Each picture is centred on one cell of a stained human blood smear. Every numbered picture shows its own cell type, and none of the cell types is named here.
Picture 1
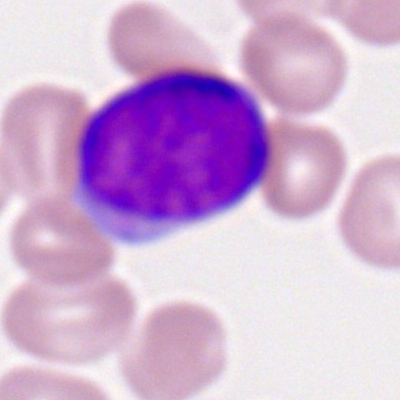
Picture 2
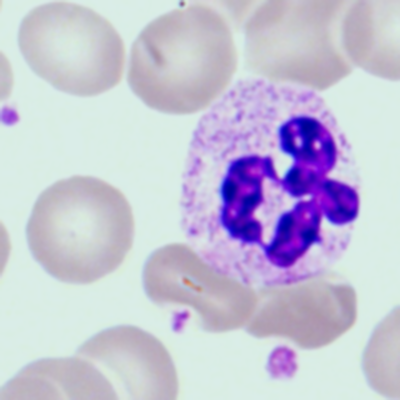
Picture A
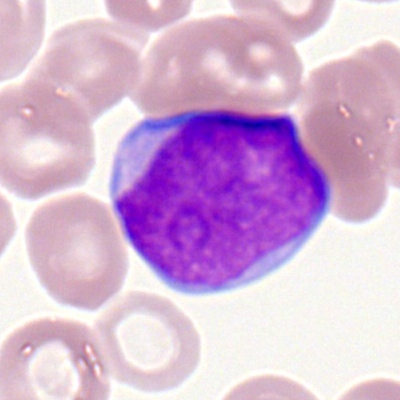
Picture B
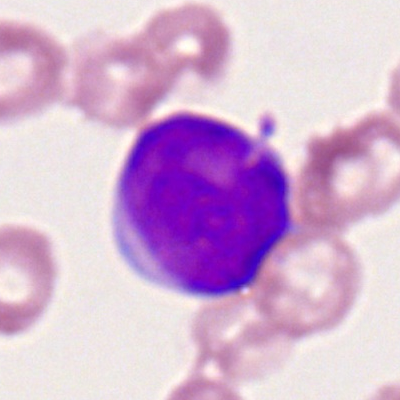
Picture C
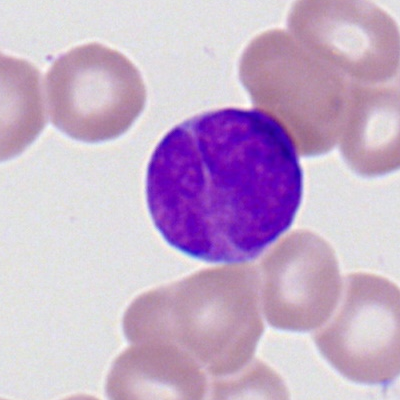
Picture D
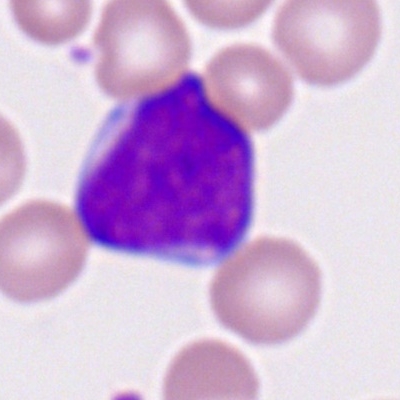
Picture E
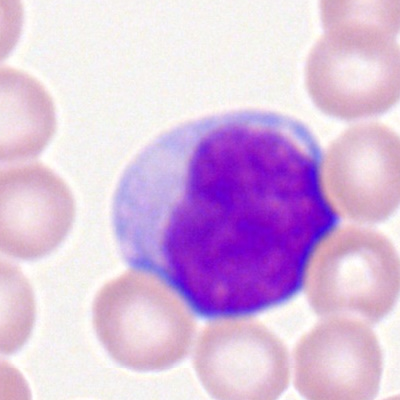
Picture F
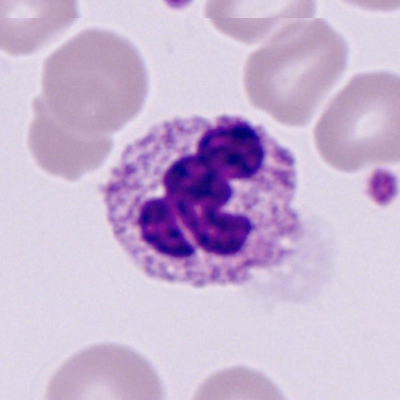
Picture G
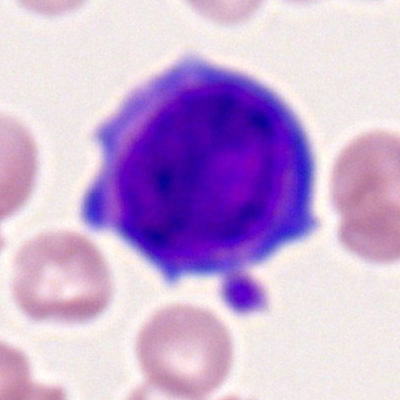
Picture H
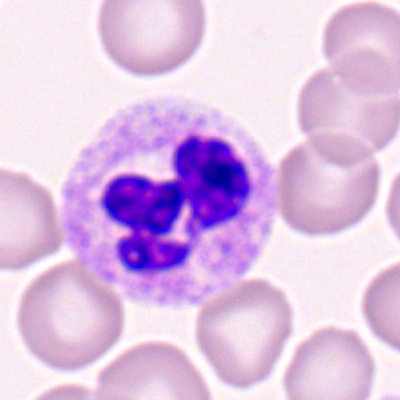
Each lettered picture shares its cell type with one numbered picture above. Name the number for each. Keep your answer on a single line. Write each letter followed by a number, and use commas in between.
A 1, B 1, C 1, D 1, E 1, F 2, G 1, H 2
